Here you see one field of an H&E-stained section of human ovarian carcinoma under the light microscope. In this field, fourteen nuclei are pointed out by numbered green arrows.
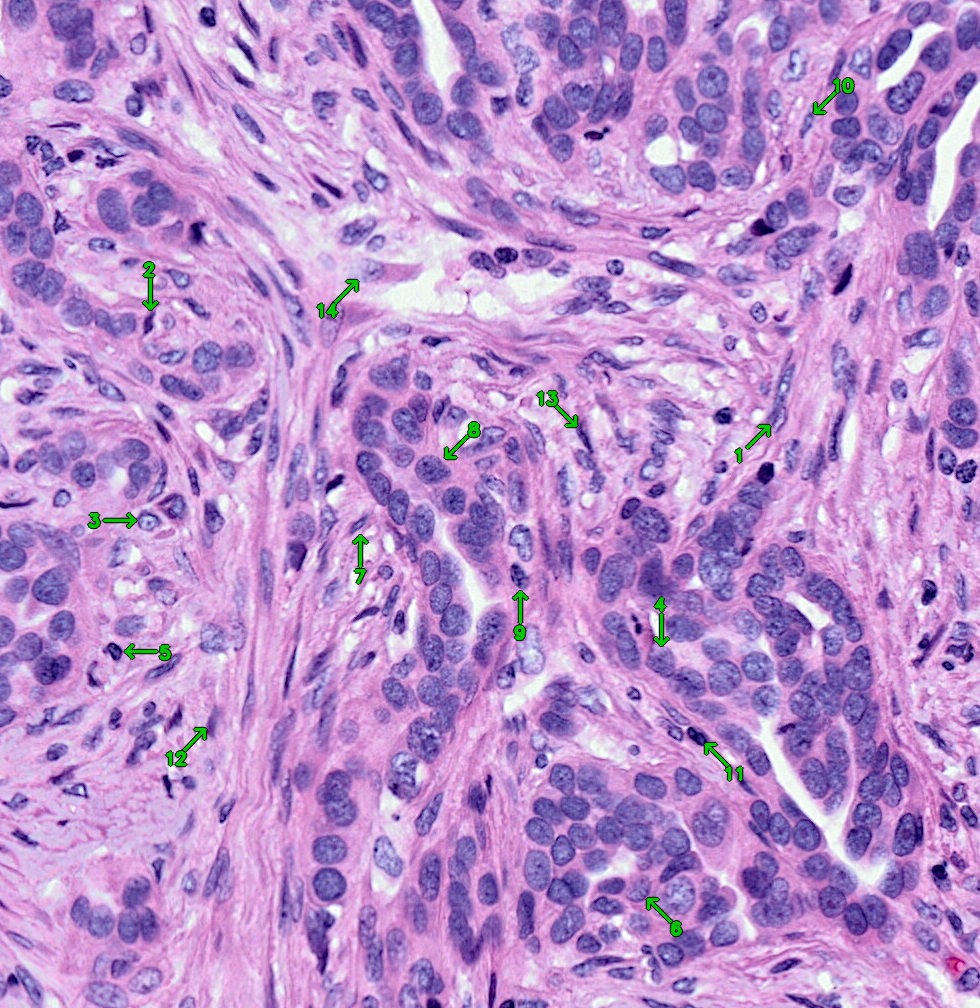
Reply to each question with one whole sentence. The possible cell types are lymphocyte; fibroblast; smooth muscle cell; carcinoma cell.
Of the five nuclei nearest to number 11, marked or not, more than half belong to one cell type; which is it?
The majority of the five nuclei closest to number 11 belong to carcinoma cells.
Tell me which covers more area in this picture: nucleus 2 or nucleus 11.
Nucleus 11 is larger, with an area about 1.5 times that of nucleus 2.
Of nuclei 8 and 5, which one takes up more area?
Nucleus 8 is larger, with an area about 3 times that of nucleus 5.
